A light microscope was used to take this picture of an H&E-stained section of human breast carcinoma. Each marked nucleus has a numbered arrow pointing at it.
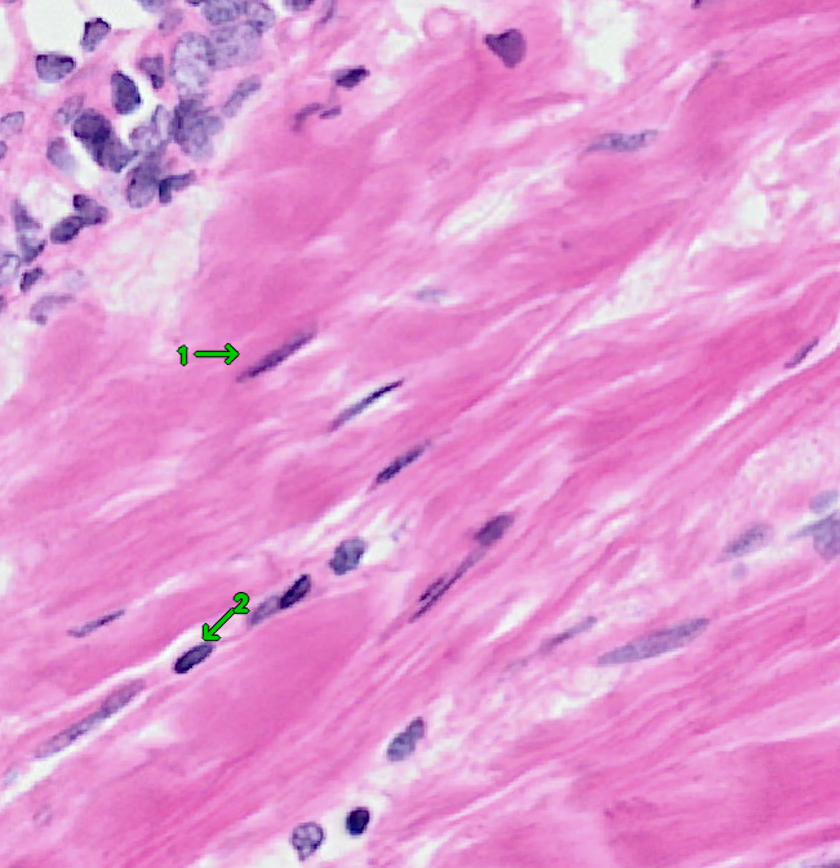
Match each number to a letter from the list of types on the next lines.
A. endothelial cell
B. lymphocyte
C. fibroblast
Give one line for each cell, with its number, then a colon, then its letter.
1: C
2: B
